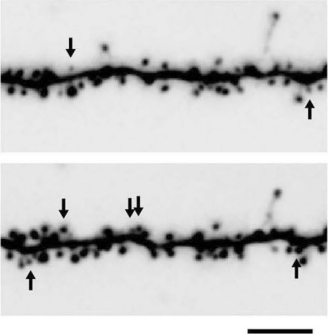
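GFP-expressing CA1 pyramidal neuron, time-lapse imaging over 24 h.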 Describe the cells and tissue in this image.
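The spines have round dark heads, some on short necks, lining both sides of the shaft, and one long thin process rises from it toward the top. Arrows mark individual spines that differ between the two images of the same segment.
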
